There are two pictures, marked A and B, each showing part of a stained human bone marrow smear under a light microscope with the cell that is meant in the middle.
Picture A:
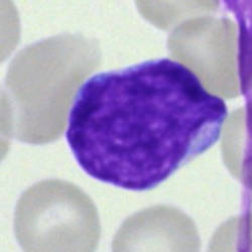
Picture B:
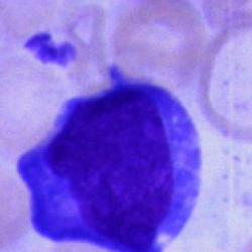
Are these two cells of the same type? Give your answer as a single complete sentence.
Yes; the cells in both pictures are blasts.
